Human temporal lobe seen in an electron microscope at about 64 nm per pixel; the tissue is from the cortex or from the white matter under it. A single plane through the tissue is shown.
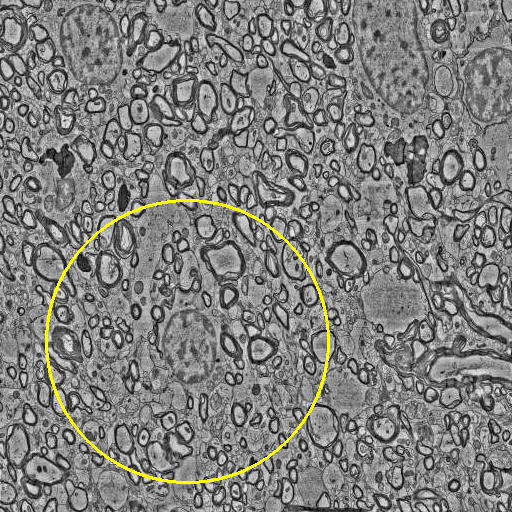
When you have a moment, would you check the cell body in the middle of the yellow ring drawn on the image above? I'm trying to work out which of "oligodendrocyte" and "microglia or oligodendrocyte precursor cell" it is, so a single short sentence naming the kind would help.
This cell body belongs to an oligodendrocyte.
